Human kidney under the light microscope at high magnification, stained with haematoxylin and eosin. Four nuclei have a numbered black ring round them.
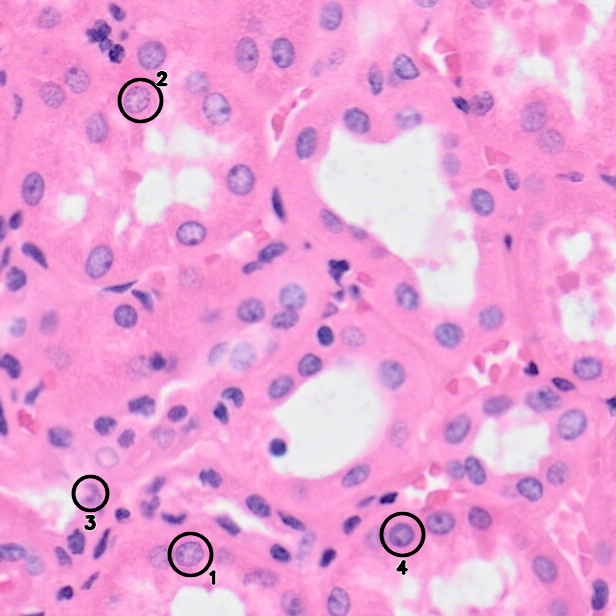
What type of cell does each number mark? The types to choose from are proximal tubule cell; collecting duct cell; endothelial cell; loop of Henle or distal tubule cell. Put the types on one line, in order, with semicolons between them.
proximal tubule cell; proximal tubule cell; collecting duct cell; proximal tubule cell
